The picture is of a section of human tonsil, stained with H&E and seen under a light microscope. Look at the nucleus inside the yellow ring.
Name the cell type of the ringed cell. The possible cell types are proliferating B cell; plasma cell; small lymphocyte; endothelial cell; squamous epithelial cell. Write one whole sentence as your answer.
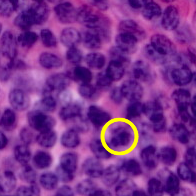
Cytologically, the ringed cell is to be regarded as a small lymphocyte.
